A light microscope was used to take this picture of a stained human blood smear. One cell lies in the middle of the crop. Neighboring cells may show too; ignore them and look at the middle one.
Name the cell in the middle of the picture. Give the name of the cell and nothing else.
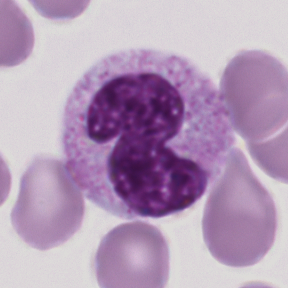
band neutrophil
